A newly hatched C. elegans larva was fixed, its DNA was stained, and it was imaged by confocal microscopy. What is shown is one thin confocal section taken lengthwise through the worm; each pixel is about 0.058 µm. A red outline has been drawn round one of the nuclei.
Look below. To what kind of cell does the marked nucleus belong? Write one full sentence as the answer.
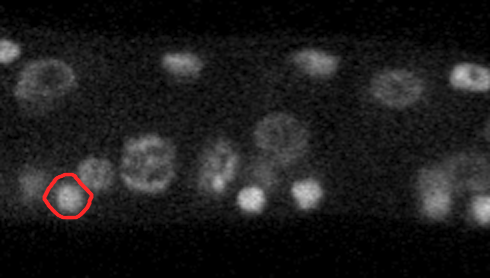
It is the nucleus of a neuron.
